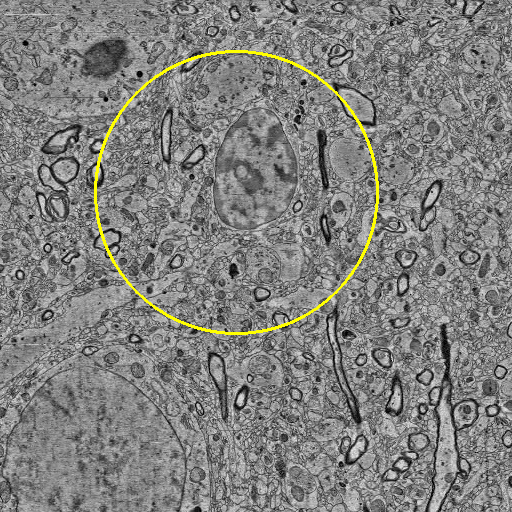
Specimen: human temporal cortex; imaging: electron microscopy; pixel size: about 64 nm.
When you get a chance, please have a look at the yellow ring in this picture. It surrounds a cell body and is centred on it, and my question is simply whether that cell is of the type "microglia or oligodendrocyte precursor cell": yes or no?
Yes, the cell is of that type.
